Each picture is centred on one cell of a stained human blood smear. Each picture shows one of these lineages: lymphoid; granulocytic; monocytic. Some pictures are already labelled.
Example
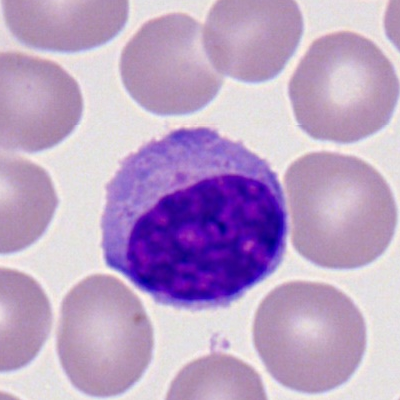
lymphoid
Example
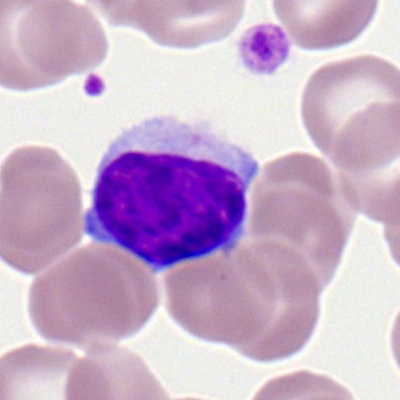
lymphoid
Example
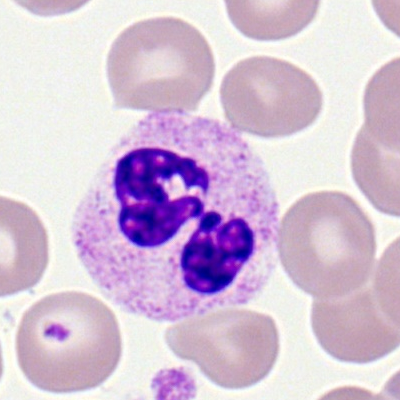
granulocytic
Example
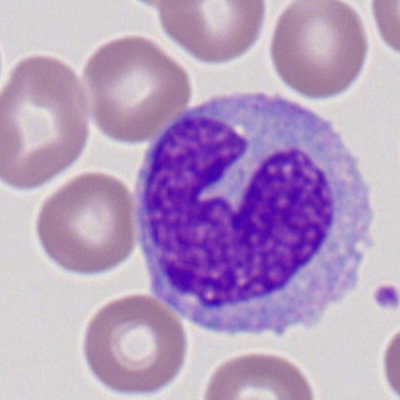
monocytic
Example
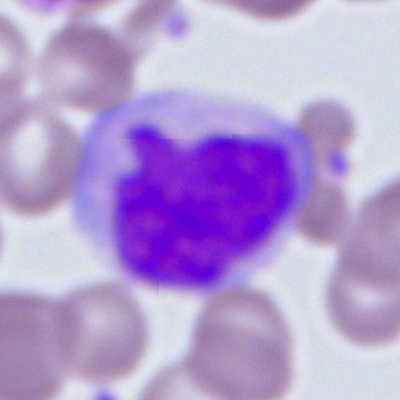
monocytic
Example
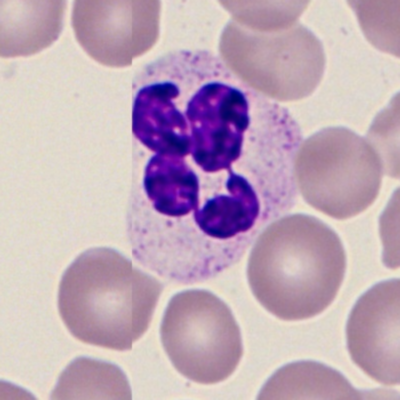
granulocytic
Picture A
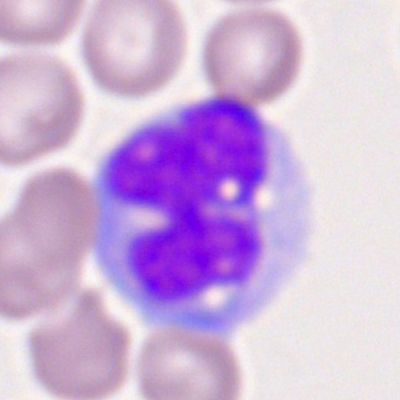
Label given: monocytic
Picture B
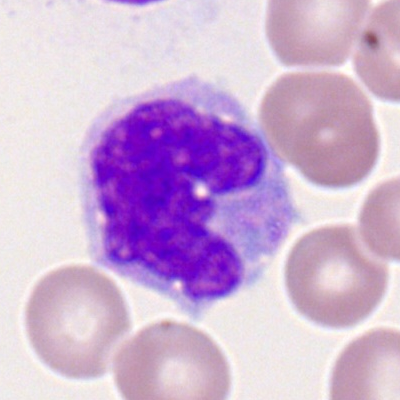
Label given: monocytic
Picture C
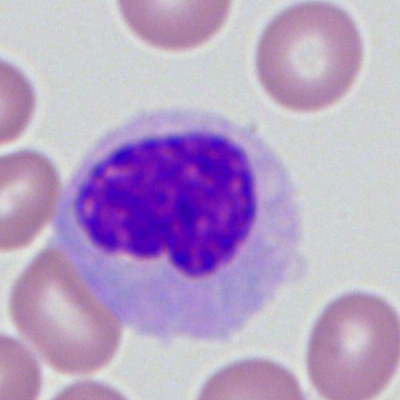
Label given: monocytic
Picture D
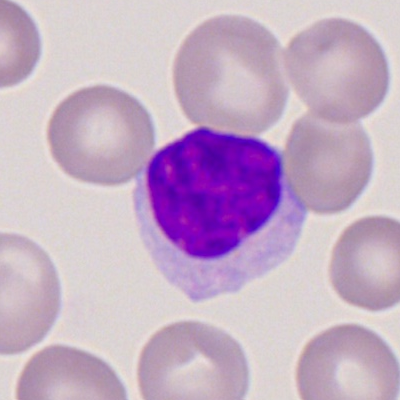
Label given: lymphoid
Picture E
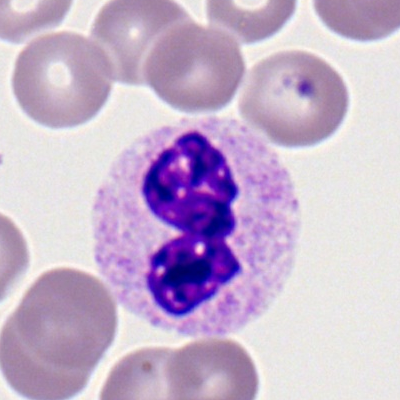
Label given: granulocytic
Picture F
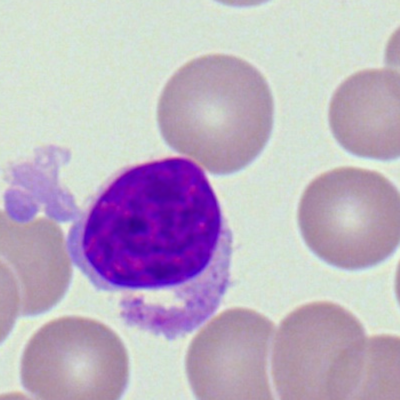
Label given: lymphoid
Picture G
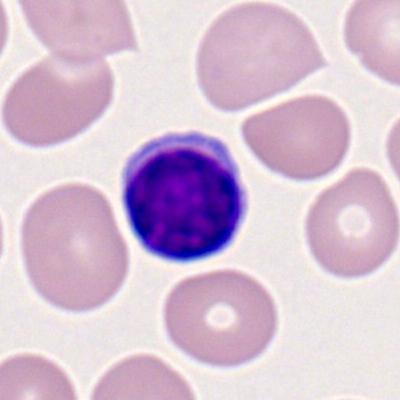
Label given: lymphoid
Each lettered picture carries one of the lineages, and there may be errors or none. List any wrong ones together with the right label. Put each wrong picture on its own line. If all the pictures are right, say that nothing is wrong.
All correct.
